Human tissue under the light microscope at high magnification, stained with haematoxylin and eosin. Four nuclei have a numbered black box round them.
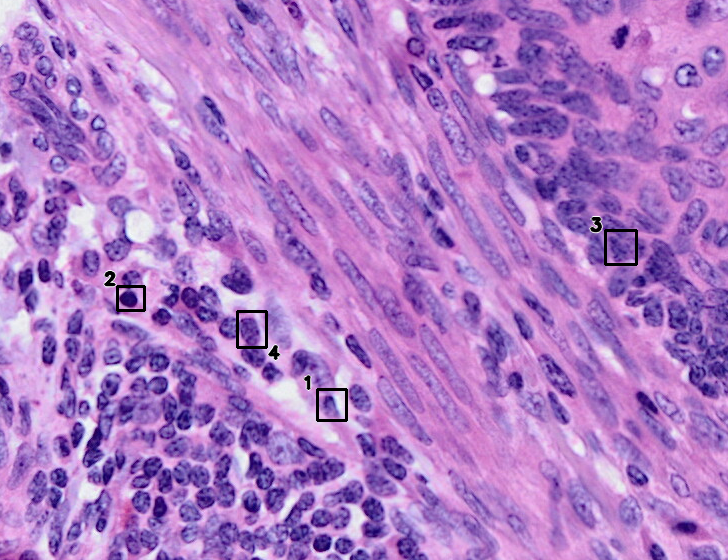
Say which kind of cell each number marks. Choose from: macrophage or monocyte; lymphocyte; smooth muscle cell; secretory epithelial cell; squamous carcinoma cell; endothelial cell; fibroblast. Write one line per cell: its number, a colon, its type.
1: lymphocyte
2: lymphocyte
3: squamous carcinoma cell
4: lymphocyte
